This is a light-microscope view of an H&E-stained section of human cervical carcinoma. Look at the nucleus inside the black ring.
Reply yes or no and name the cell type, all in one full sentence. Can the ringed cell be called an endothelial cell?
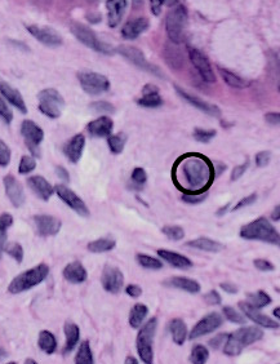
Yes, no change needed: the ringed cell is an endothelial cell.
